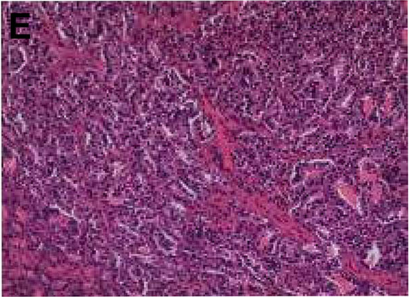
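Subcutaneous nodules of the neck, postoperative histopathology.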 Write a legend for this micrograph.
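The field is densely filled with crowded tumour cells with dark purple nuclei, forming sheets broken by small irregular clefts and a few thin pink fibrous strands. Little or no colloid is seen and normal architecture is lost.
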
